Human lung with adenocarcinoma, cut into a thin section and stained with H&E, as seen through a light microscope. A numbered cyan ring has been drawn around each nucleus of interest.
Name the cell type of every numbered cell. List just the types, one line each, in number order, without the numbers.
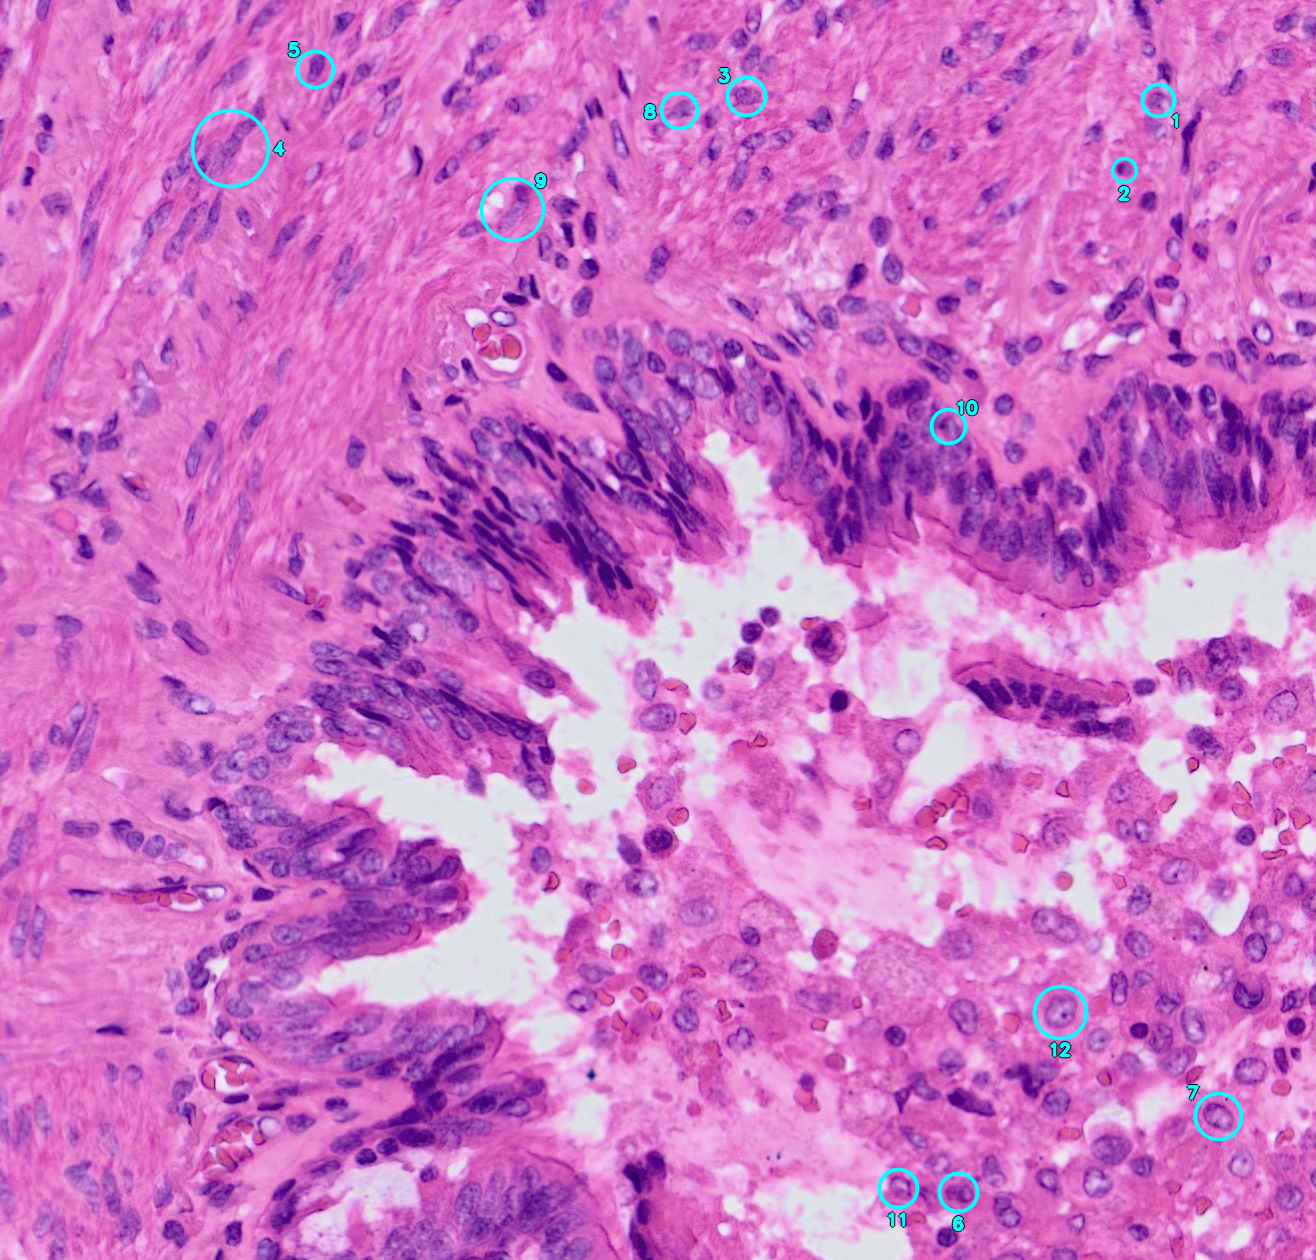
smooth muscle cell or pericyte
smooth muscle cell or pericyte
smooth muscle cell or pericyte
smooth muscle cell or pericyte
smooth muscle cell or pericyte
macrophage or monocyte
macrophage or monocyte
smooth muscle cell or pericyte
smooth muscle cell or pericyte
ciliated epithelial cell
macrophage or monocyte
macrophage or monocyte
